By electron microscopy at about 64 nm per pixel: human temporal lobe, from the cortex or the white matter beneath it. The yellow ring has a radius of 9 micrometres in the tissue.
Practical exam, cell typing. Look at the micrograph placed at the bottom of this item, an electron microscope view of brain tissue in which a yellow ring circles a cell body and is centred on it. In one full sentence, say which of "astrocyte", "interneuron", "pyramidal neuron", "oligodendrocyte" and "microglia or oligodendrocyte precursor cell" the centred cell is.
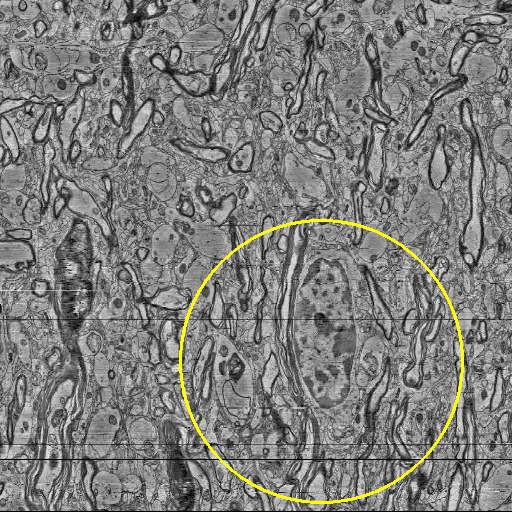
Given the options, a microglial cell or oligodendrocyte precursor cell fits the cell whose body the yellow ring is centred on.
